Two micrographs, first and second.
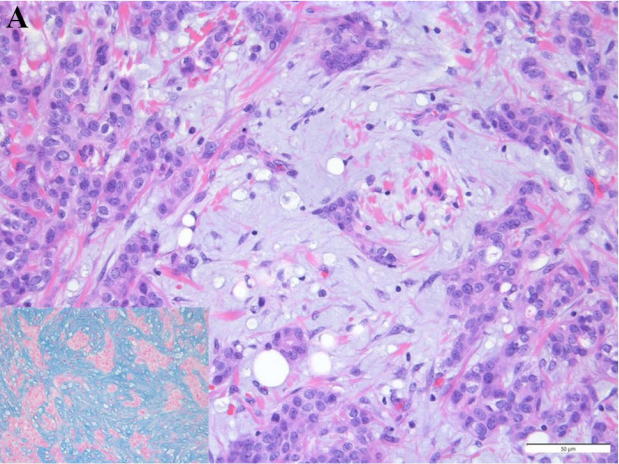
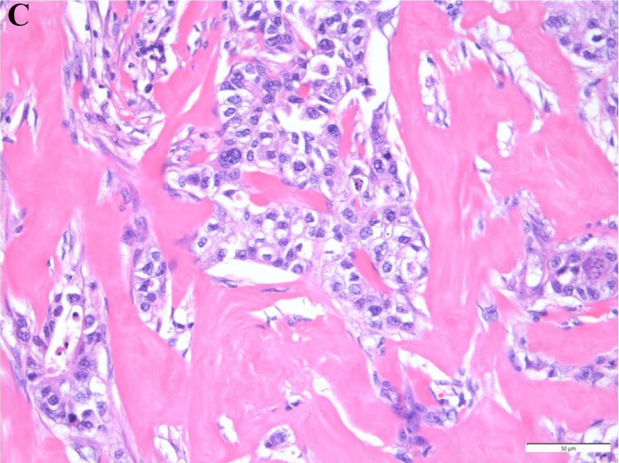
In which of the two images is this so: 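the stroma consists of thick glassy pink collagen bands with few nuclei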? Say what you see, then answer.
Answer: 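First image: the stroma between cell nests is pale, grey-blue and amorphous. Second image: the stroma forms broad, glassy, bright pink bands.
Hence: the second image.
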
